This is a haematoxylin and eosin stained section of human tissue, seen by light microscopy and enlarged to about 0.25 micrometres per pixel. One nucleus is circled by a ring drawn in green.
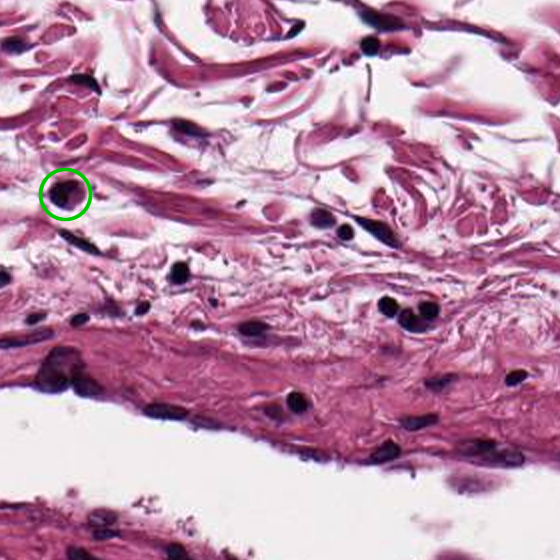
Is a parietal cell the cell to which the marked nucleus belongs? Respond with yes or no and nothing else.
no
